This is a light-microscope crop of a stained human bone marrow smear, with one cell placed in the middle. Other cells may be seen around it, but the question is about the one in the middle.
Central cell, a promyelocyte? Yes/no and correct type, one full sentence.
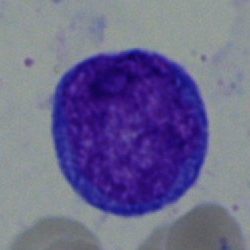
No, what sits in the centre of the crop is a blast rather than a promyelocyte.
